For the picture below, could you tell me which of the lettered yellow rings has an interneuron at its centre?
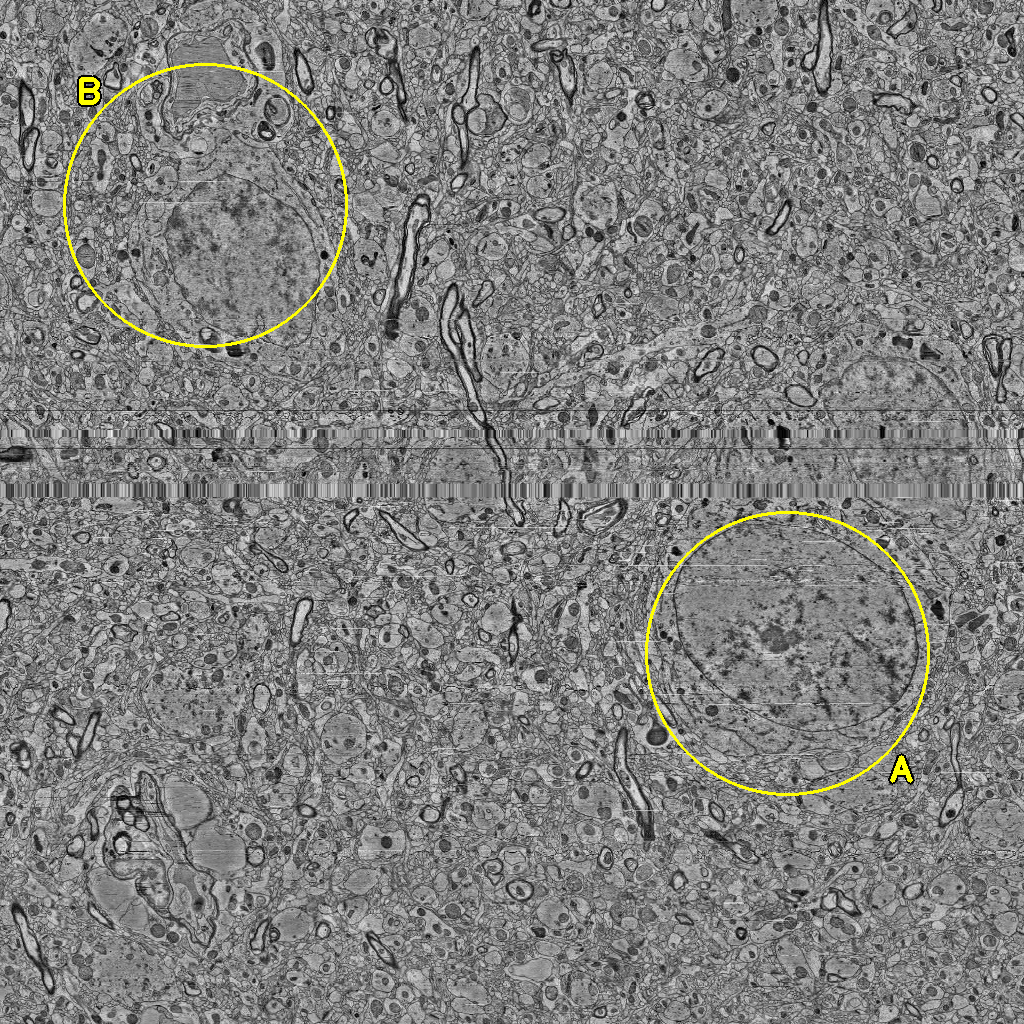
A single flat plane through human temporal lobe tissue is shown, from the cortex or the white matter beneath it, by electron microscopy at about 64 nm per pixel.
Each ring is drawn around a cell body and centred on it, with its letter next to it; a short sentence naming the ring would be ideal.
Ring B is centred on it.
